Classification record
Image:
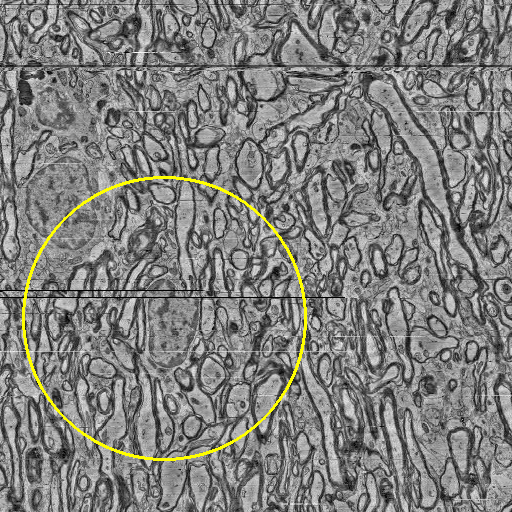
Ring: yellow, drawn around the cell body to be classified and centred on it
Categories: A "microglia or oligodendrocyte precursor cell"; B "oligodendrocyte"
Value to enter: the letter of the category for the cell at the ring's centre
A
